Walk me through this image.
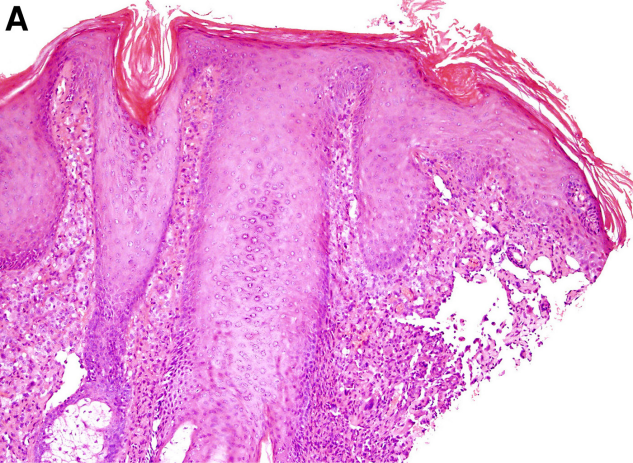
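Skin with thickened epidermis and a cellular dermal infiltrate. The epidermis is acanthotic with elongated rete ridges, a compact pink keratin layer and keratin-filled invaginations at the surface. Beneath it the dermis is crowded with cells, most densely on the right, where irregular slit-like clefts and open spaces separate strands of tissue and cells. The pink dermal tissue appears broken up by the infiltrating cells.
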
